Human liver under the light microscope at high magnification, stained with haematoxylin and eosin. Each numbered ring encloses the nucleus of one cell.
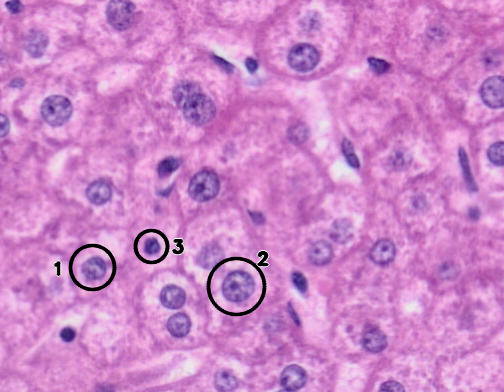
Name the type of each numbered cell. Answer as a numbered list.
1. hepatocyte
2. hepatocyte
3. lymphocyte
